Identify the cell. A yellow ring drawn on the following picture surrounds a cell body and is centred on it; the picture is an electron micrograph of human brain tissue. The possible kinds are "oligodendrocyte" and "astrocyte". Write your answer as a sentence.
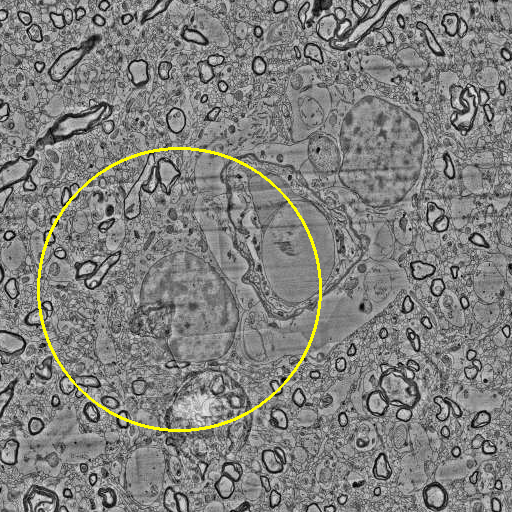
The cell identified by the ring is an oligodendrocyte.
